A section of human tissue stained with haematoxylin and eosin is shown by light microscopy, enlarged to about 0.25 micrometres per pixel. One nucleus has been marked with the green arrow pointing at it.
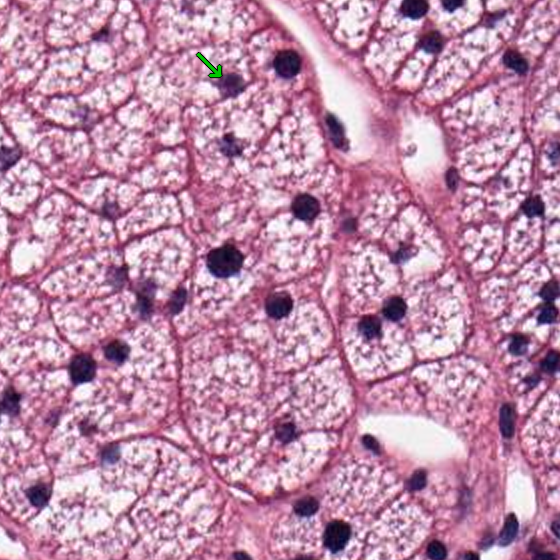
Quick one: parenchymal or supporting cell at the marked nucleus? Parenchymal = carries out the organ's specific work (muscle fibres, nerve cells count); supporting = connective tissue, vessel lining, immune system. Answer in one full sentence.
The marked nucleus belongs to a cell of the parenchyma, namely an adrenal cortical cell.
